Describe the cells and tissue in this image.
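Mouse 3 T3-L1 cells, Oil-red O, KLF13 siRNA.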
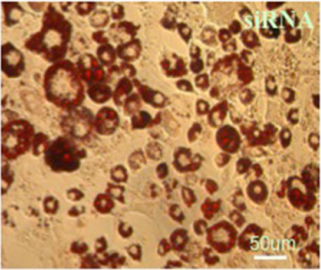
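This cultured monolayer shows many rounded cells loaded with red-stained droplets on a pale beige background. Many of the cells appear as large round profiles with a thick red rim of droplets around a lighter centre, and one clump near the left is stained very dark. Smaller red dots are scattered between the rounded cells. Flat, unstained cells with faint outlines fill the spaces in between.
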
